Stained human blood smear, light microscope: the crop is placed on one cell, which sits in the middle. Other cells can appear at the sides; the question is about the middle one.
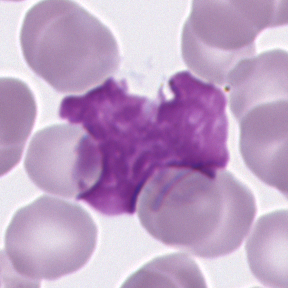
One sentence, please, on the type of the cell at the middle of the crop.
In the middle of this smear crop is a smudge cell.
